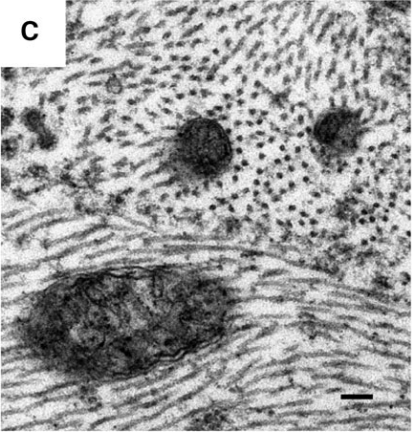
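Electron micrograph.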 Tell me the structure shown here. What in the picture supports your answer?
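In the lower part, filaments run lengthwise as long parallel lines. In the upper part, filaments appear as small dots and short dashes. Filaments are mostly straight.
Conclusion: longitudinal, oblique and cross sections of filaments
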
